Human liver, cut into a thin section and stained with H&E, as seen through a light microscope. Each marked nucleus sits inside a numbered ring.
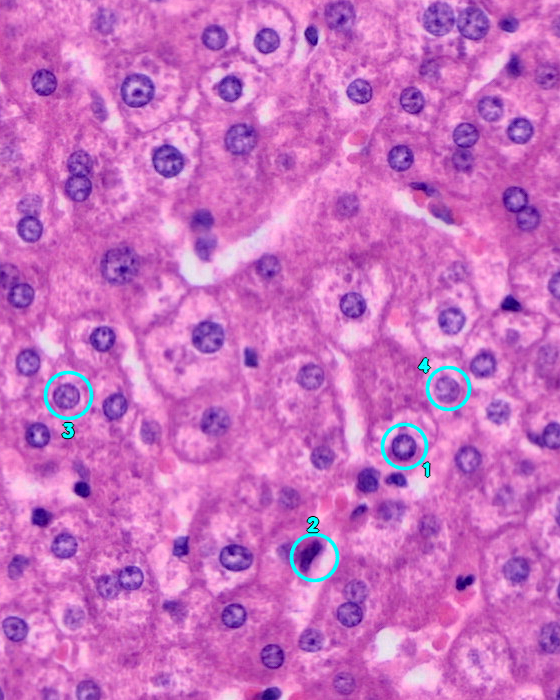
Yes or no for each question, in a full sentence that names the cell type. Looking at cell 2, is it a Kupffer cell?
Yes, the marked cell with number 2 is a Kupffer cell.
